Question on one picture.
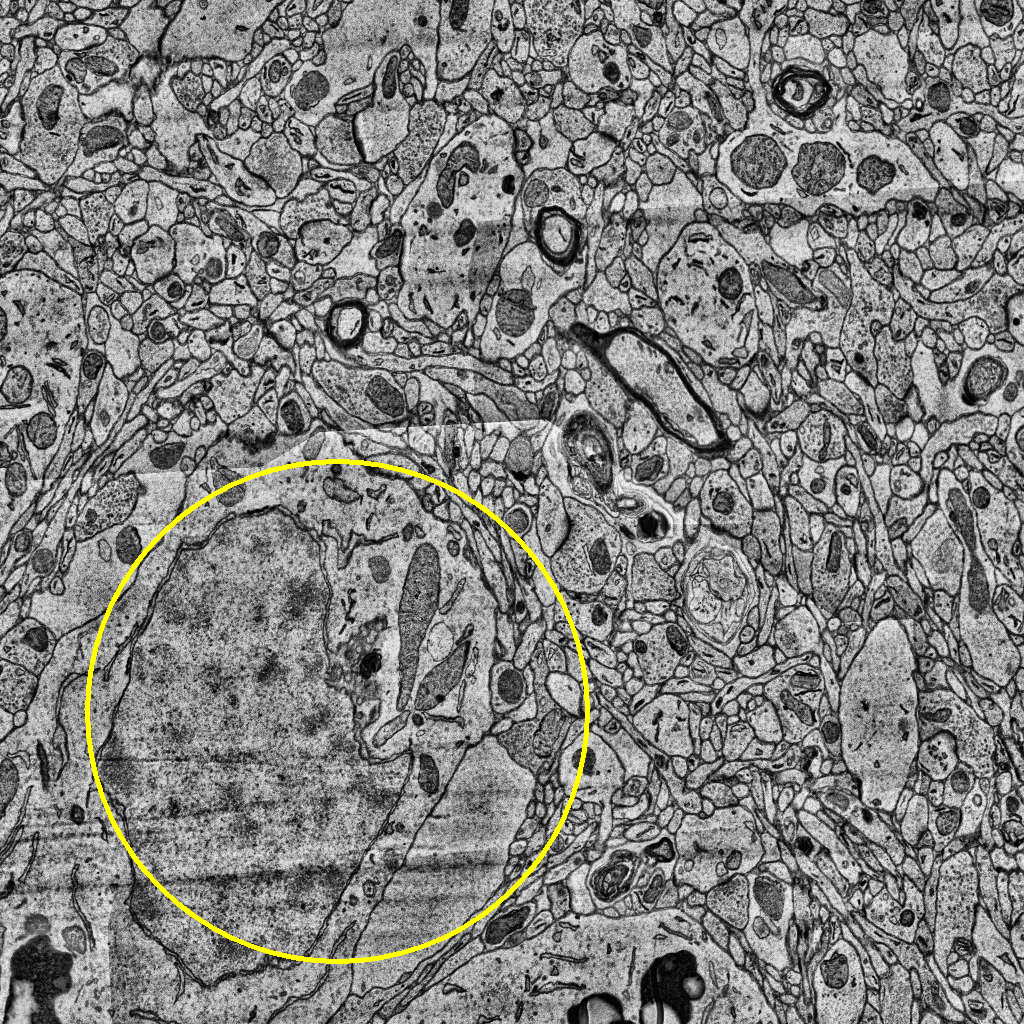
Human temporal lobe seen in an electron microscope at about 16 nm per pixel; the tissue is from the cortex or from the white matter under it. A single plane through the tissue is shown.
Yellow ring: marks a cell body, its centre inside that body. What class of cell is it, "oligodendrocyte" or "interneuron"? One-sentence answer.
This is an interneuron, the cell at the ring's centre.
